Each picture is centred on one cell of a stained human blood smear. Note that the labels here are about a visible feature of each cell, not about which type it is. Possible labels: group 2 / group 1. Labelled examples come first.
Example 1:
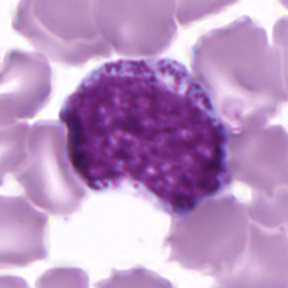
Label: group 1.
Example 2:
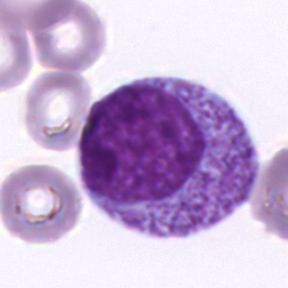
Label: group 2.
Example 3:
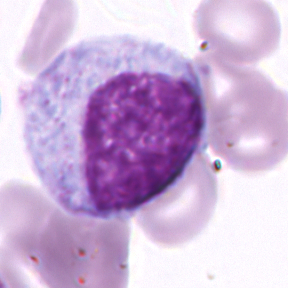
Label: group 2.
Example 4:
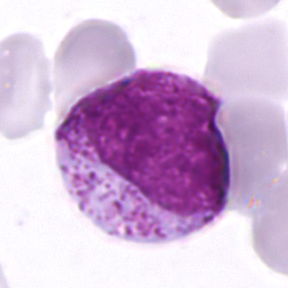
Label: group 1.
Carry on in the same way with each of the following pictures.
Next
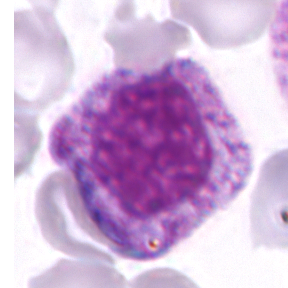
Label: group 2.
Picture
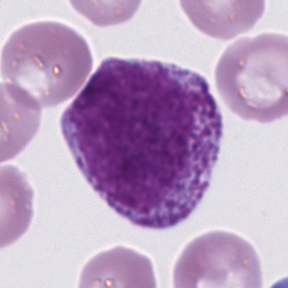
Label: group 1.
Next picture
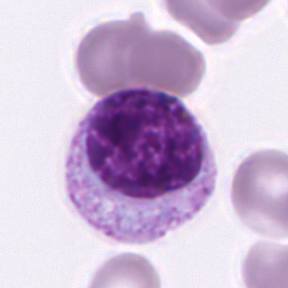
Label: group 2.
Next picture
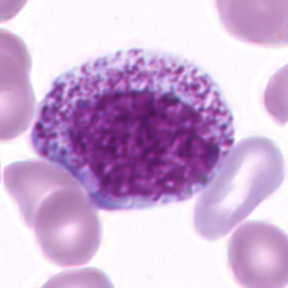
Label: group 1.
